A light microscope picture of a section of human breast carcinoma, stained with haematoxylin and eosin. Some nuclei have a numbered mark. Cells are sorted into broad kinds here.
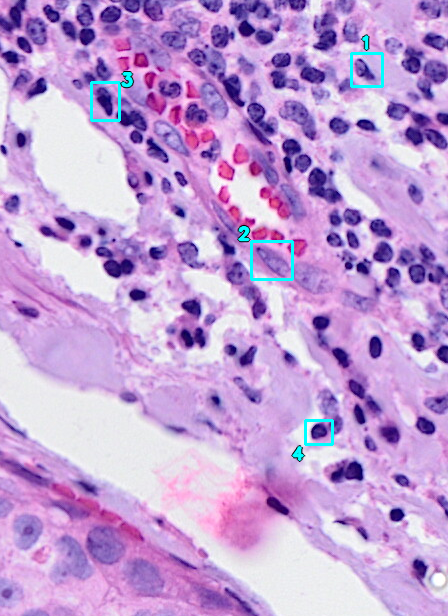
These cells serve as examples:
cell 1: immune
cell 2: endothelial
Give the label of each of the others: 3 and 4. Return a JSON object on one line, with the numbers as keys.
{"3": "immune", "4": "immune"}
